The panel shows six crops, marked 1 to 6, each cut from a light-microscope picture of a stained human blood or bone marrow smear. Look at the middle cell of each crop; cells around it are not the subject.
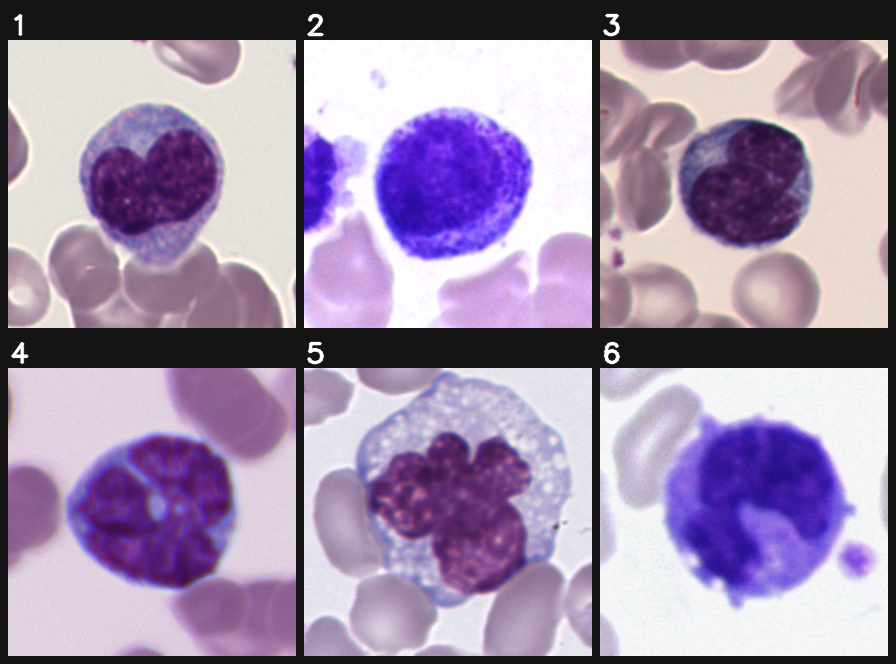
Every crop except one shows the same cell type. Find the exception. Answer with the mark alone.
2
